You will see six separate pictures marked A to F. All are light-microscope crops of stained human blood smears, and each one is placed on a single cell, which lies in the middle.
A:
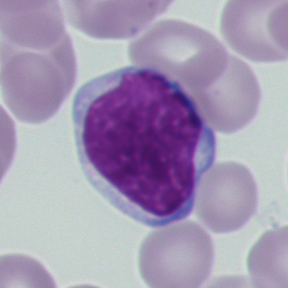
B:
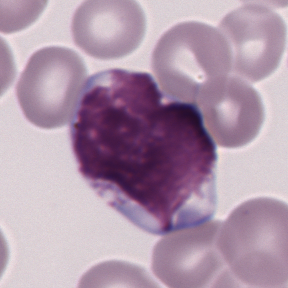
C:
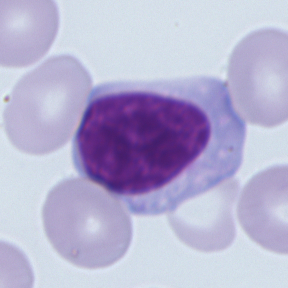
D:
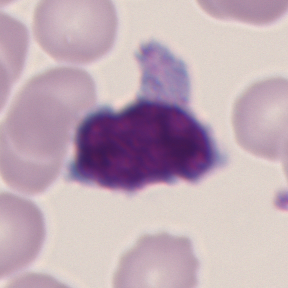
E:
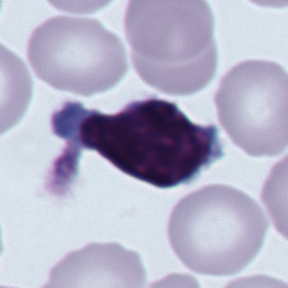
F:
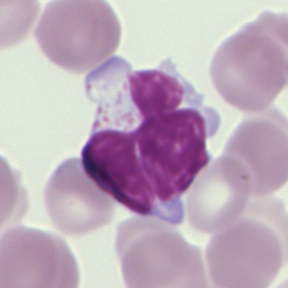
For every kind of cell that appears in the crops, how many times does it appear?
large granular lymphocyte: 3
typical lymphocyte: 3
